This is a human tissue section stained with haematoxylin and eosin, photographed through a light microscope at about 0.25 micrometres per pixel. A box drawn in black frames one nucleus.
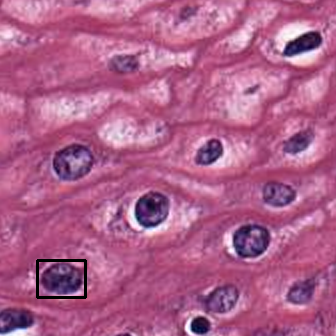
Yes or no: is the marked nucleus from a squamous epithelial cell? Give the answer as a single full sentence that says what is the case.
Yes, it is a squamous epithelial cell to which the marked nucleus belongs.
